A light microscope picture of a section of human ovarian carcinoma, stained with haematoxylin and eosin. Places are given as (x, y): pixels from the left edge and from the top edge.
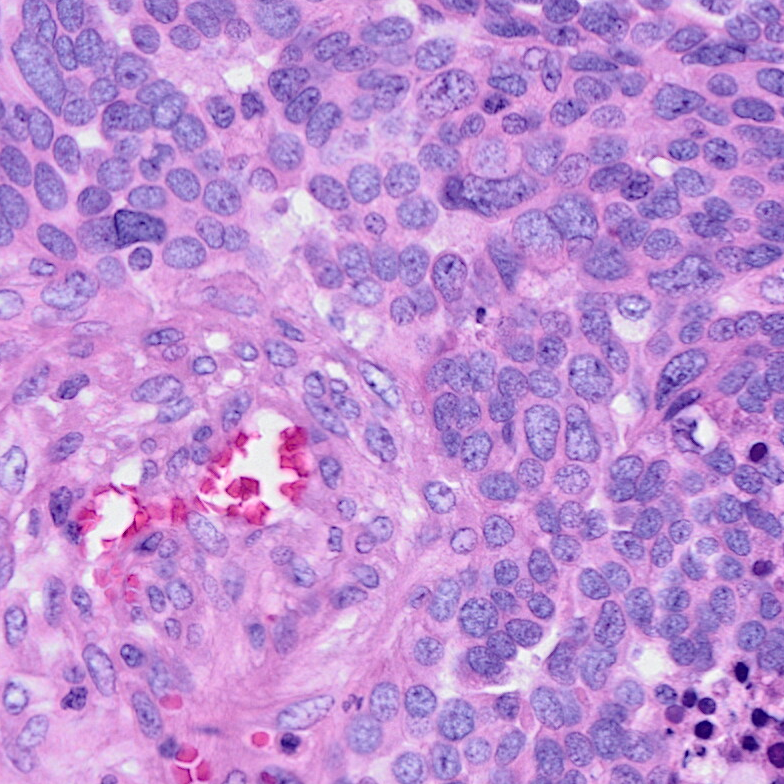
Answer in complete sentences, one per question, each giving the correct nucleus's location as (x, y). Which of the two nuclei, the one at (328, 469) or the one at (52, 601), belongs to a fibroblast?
Of the two nuclei, the nucleus of a fibroblast is at (52, 601).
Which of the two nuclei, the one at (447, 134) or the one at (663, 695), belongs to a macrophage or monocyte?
The pair contains one nucleus of a macrophage or monocyte, namely the one at (663, 695).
